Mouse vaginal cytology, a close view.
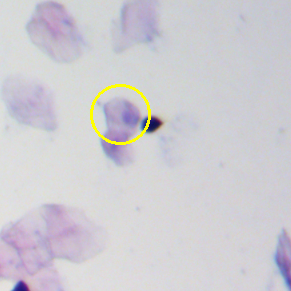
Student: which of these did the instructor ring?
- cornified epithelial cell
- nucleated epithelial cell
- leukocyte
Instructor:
The cell I ringed is a nucleated epithelial cell.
